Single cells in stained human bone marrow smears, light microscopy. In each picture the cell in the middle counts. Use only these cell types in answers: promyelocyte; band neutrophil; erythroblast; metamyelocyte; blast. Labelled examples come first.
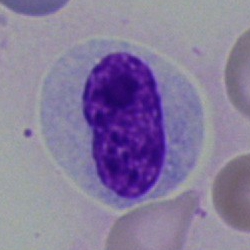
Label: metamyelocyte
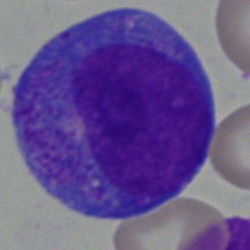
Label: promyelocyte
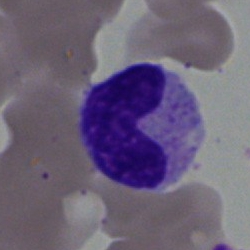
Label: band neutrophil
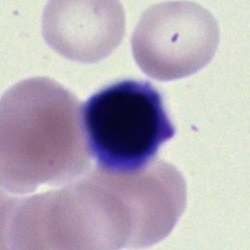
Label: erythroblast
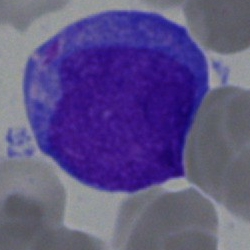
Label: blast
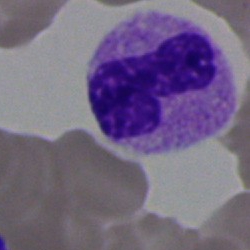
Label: band neutrophil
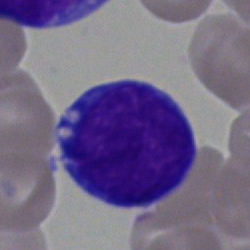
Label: blast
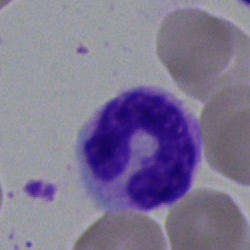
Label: band neutrophil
